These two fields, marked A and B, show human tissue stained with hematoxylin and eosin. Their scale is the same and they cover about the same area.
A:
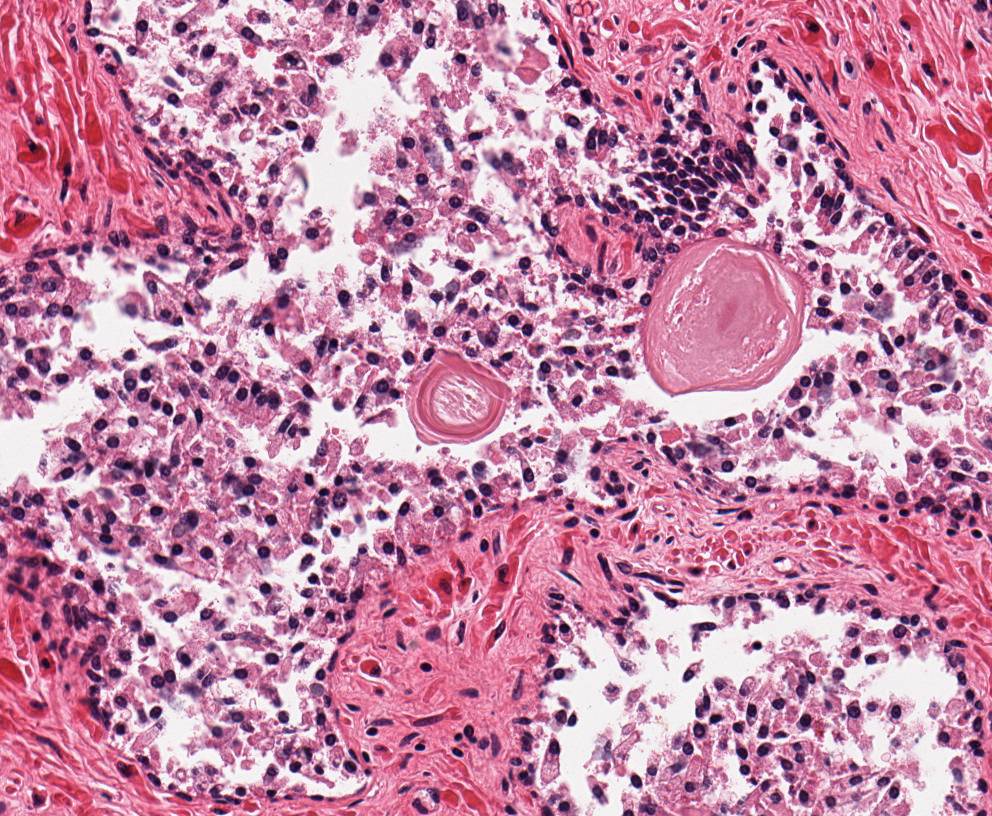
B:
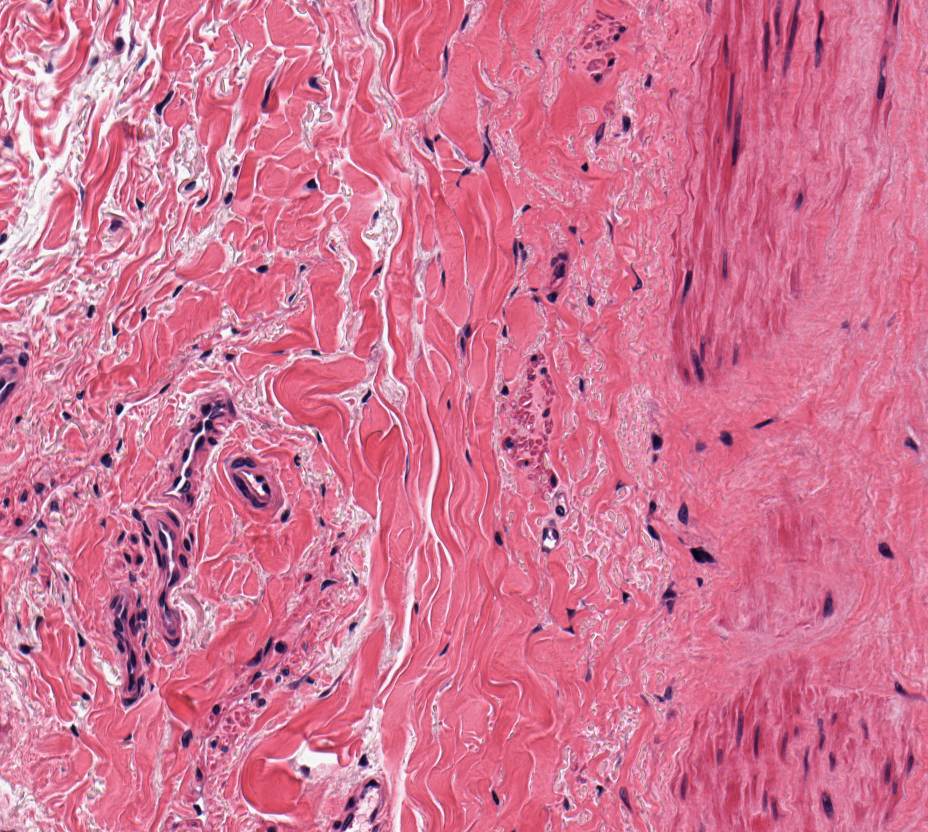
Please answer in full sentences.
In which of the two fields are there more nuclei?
It is field A that has more nuclei in it.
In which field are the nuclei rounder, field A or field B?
It is field A whose nuclei are the rounder.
